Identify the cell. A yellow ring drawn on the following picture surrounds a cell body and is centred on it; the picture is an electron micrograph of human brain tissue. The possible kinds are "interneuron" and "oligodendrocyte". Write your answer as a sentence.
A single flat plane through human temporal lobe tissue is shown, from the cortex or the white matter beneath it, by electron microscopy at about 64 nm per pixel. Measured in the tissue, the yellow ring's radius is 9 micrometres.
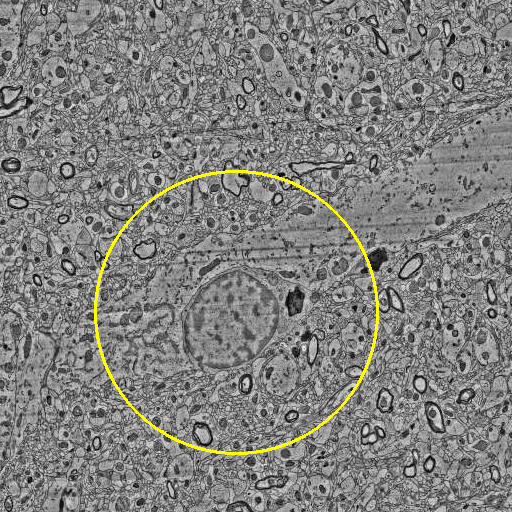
The cell identified by the ring is an oligodendrocyte.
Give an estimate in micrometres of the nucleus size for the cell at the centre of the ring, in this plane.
About 6 micrometres across in this plane, for the nucleus.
